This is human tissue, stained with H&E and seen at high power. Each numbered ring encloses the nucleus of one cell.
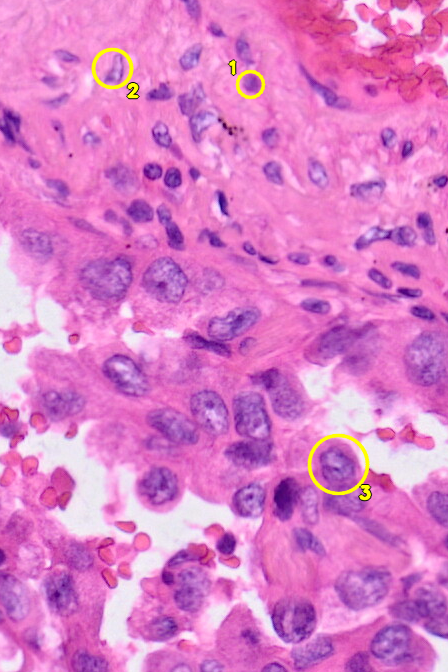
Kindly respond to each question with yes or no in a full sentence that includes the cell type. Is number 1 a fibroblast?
No, it is a smooth muscle cell or pericyte, rather than a fibroblast, that carries number 1.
